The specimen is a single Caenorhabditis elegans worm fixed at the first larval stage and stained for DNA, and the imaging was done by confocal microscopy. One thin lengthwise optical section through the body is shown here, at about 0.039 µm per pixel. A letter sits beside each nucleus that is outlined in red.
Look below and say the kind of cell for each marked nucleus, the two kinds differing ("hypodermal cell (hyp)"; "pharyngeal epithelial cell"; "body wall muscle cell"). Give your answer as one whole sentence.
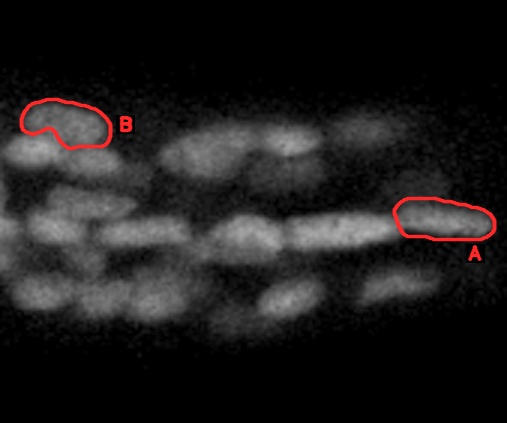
A is in a pharyngeal epithelial cell and B is in a body wall muscle cell.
